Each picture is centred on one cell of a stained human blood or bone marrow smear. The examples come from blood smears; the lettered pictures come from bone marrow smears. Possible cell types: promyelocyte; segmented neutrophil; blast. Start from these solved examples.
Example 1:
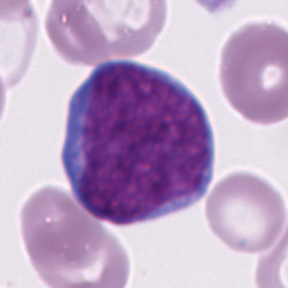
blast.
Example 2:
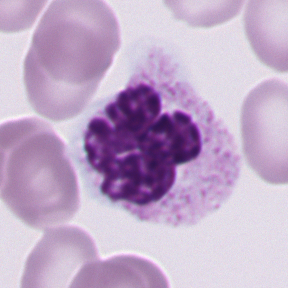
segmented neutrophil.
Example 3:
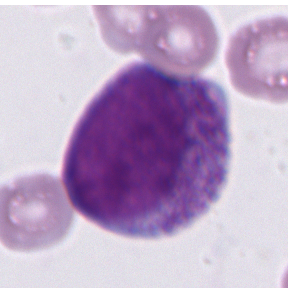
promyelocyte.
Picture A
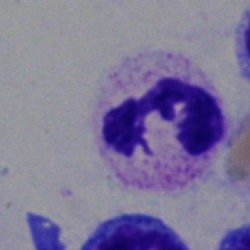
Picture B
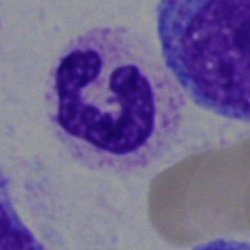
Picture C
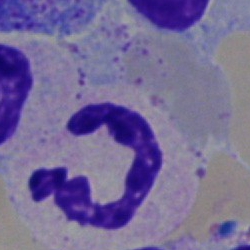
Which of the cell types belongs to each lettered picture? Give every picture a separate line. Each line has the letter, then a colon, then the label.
A: segmented neutrophil.
B: segmented neutrophil.
C: segmented neutrophil.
